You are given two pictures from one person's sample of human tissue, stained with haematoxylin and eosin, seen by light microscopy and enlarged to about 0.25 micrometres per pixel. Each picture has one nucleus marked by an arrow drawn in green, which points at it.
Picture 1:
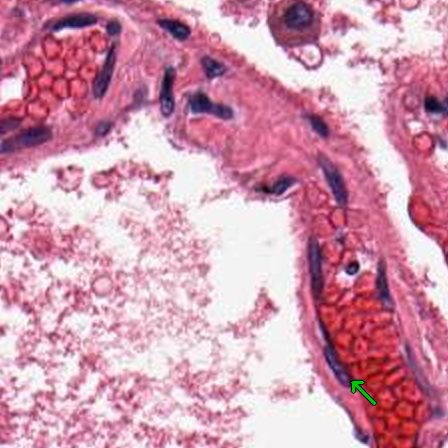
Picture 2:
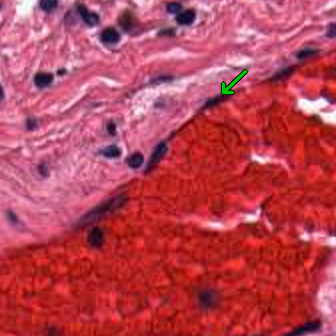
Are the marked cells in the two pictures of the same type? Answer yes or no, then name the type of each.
Yes, both are endothelial cells.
